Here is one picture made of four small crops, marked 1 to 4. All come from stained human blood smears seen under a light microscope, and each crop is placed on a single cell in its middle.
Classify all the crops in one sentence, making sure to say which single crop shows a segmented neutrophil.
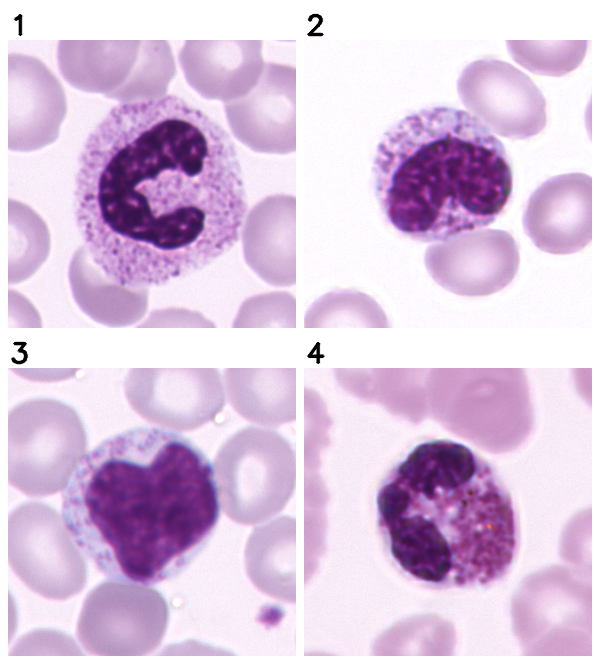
The middle of crop 1 holds a segmented neutrophil, while crop 2 is a band neutrophil, crop 3 is a large granular lymphocyte and crop 4 is an eosinophil.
